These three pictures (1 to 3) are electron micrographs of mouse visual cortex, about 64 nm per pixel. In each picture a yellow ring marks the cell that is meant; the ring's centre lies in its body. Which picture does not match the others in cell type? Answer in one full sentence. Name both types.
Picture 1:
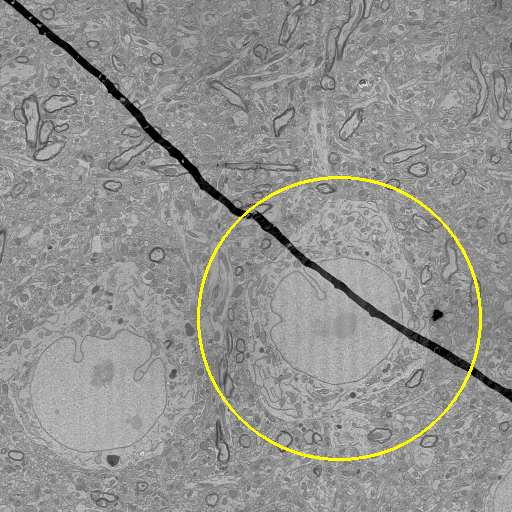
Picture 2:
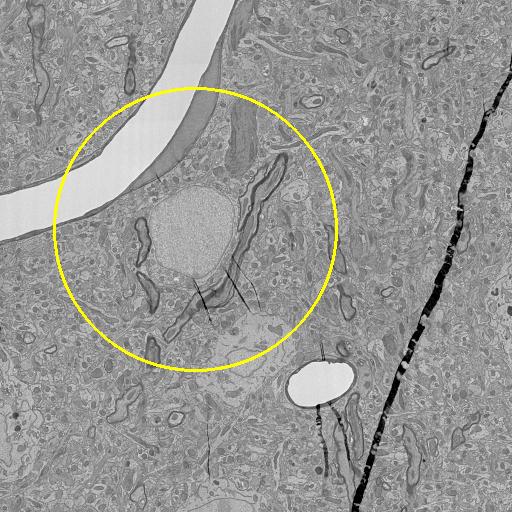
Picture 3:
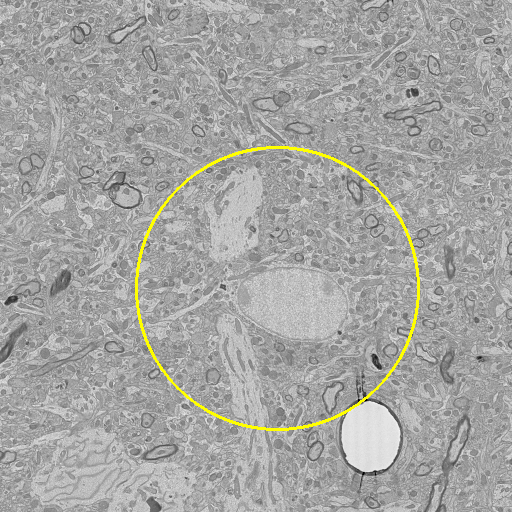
Picture 1 differs, because its cell is an inhibitory neuron and the rest are astrocytes.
